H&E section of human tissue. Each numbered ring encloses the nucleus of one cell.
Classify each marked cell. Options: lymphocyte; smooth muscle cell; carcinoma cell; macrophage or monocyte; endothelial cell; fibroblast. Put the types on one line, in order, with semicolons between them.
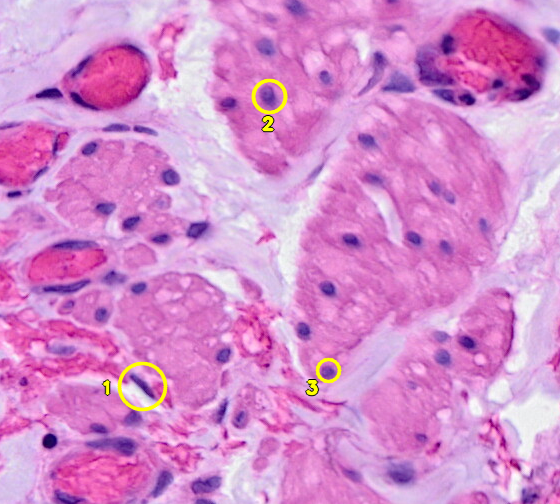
endothelial cell; smooth muscle cell; smooth muscle cell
